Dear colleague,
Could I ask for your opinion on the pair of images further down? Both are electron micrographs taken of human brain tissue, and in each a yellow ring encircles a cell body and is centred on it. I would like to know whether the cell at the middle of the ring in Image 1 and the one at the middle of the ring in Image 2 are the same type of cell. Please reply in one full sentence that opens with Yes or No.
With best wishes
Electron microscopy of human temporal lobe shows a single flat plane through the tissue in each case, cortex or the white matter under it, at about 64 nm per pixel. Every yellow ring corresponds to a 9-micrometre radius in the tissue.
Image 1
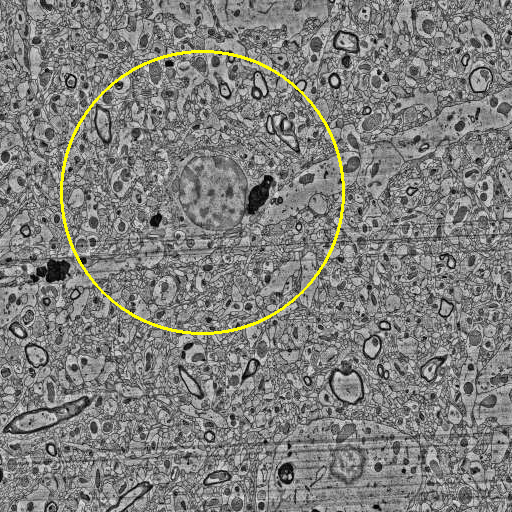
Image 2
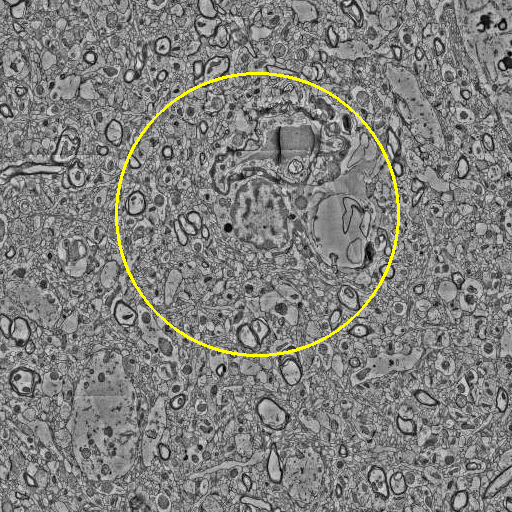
Yes, the cells at the ring centres in Image 1 and Image 2 are of one type.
